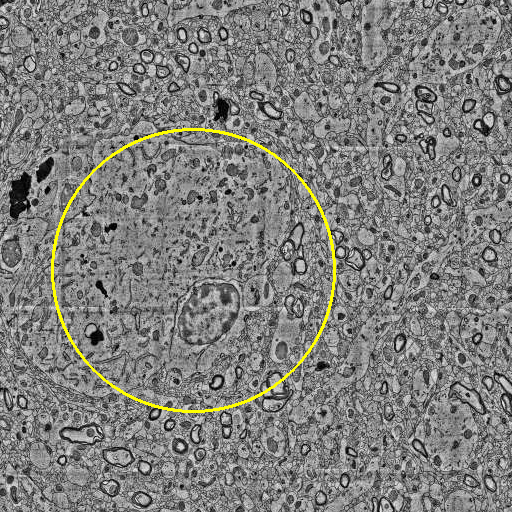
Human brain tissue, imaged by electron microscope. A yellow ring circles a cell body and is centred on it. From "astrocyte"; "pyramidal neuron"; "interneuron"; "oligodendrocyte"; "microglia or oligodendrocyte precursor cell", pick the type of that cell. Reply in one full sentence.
The cell body at the centre of the yellow ring belongs to a microglial cell or oligodendrocyte precursor cell.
